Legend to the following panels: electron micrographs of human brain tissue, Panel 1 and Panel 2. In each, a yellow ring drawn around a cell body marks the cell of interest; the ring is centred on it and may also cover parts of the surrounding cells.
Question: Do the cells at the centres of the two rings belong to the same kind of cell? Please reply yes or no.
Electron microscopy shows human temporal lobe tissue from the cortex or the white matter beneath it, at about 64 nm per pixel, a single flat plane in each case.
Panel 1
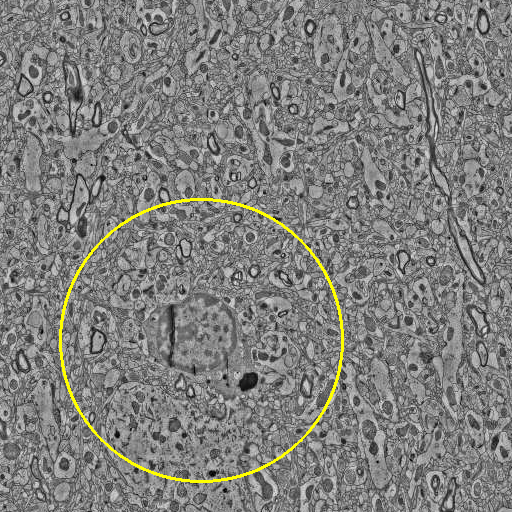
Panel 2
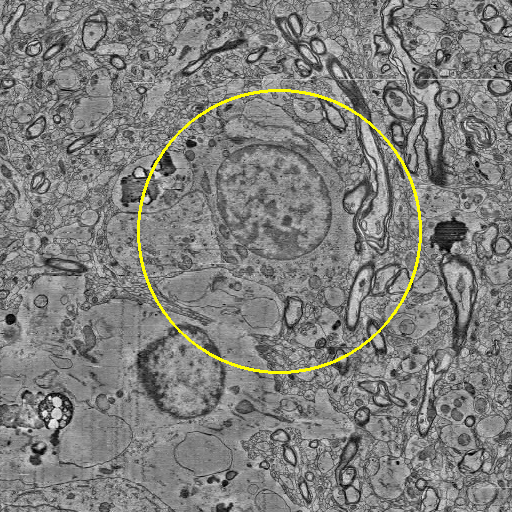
yes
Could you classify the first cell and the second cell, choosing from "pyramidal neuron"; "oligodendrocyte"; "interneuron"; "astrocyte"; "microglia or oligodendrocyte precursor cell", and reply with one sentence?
The ring centre holds an oligodendrocyte in each of the two pictures.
